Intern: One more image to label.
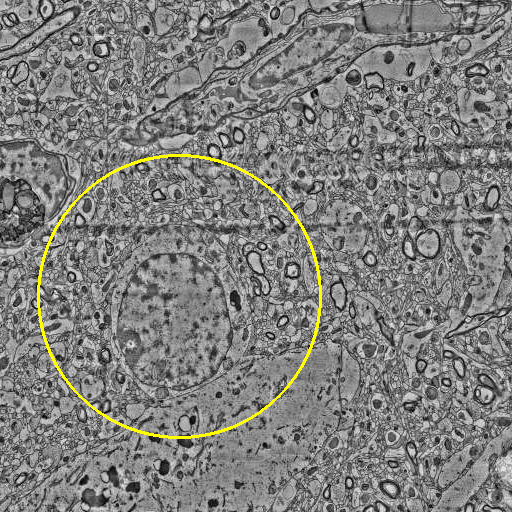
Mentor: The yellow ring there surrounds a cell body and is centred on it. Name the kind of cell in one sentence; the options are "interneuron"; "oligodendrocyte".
The ring marks the cell body of an interneuron.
